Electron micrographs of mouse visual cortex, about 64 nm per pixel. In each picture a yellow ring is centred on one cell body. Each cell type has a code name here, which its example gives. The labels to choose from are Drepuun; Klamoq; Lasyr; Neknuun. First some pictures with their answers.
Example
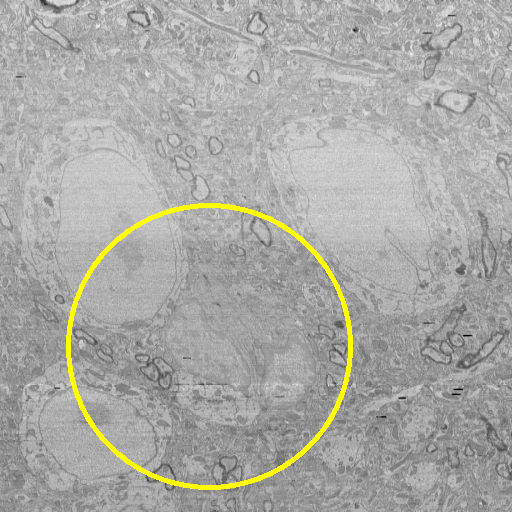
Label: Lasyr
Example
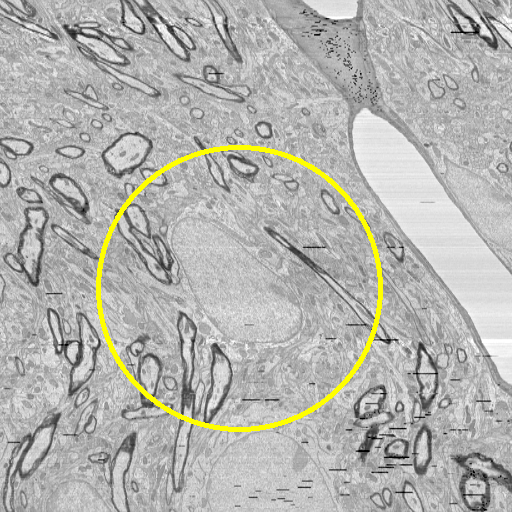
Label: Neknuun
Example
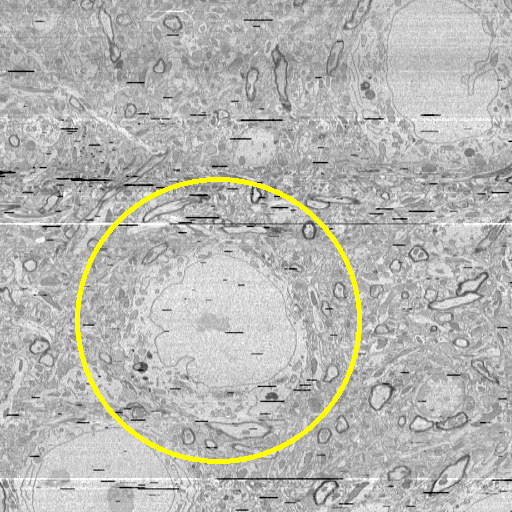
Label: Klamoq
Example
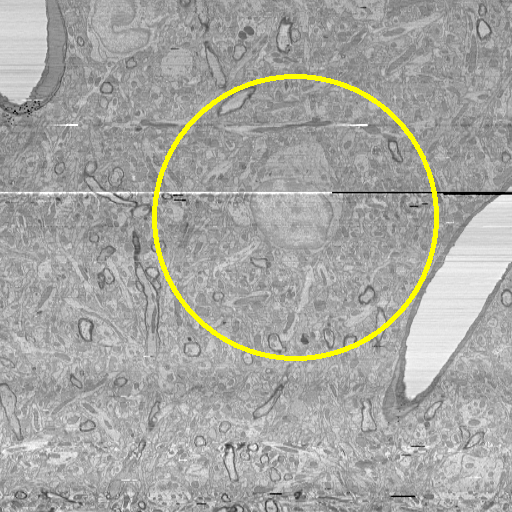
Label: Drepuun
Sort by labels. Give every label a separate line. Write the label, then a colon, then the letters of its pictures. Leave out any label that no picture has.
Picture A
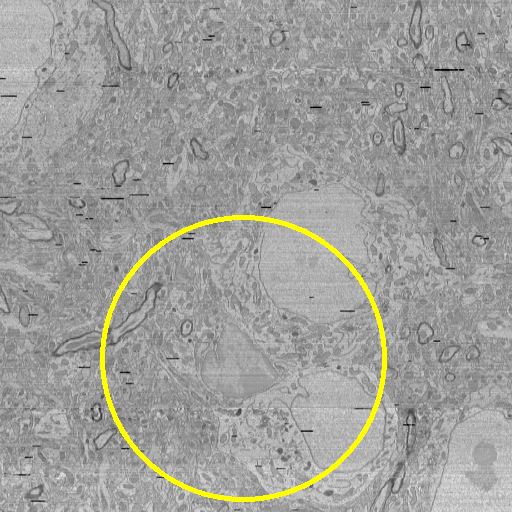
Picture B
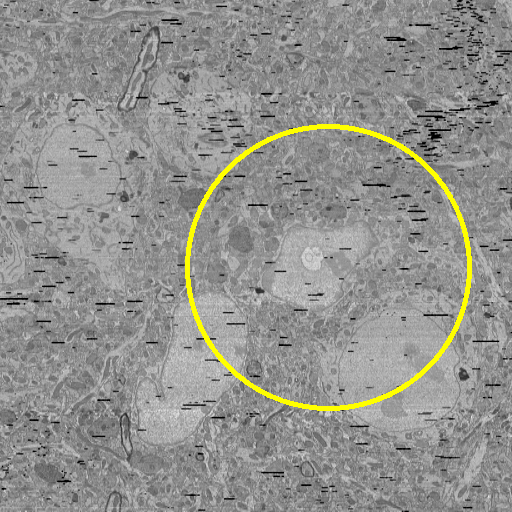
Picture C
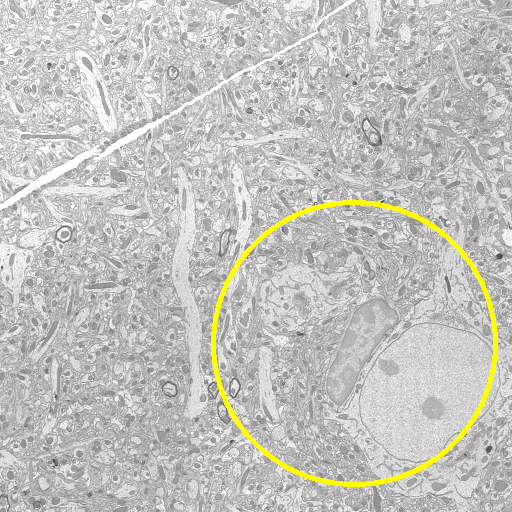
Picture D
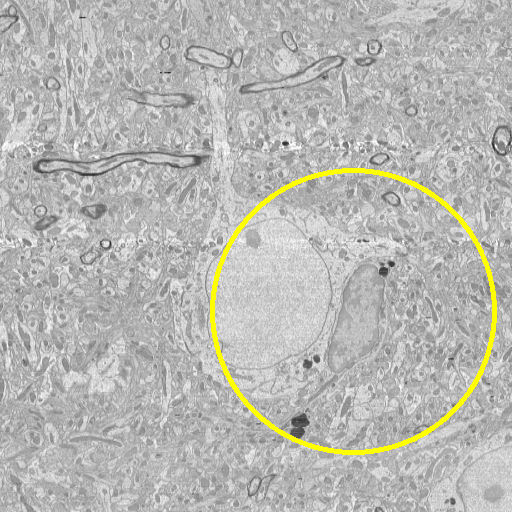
Lasyr: A, C, D
Neknuun: B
